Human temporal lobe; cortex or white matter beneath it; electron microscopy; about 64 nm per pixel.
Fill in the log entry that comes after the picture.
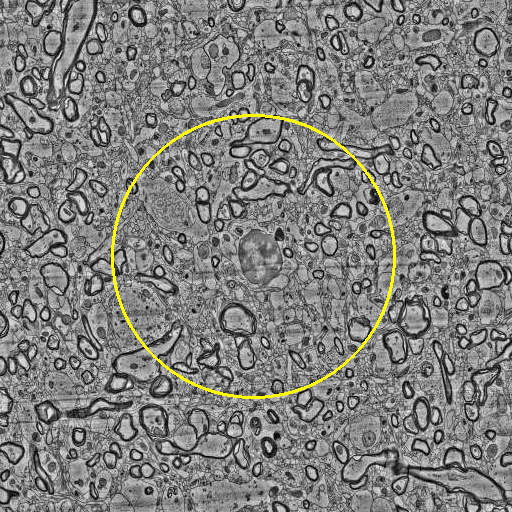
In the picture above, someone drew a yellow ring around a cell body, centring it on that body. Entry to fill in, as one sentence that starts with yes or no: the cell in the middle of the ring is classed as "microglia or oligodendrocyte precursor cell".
Yes, the cell in the ring's centre in this image is of the stated kind.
